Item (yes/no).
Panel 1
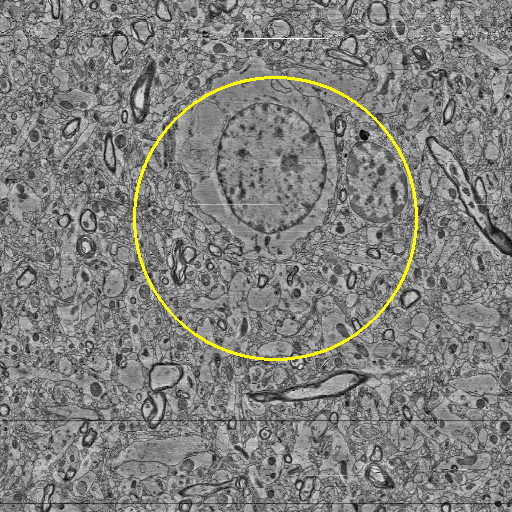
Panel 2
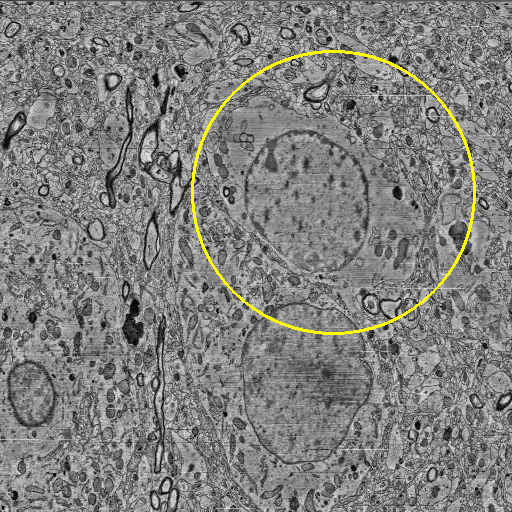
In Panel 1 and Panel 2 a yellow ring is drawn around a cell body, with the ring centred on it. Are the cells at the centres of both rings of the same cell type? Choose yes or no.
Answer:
yes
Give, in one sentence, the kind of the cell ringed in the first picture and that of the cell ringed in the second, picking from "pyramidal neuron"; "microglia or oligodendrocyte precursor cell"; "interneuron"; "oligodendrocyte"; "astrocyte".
The ring centre holds an astrocyte in each of the two pictures.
